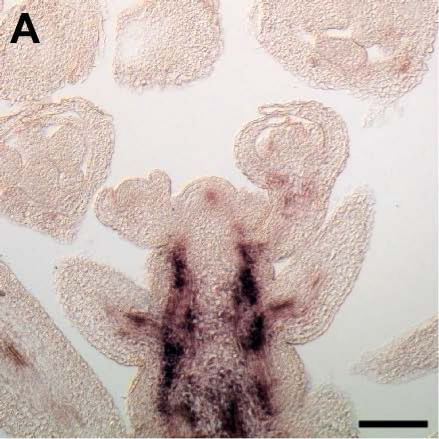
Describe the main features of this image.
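Longitudinal section through a shoot apex with a small domed meristem at the top centre, flanked by young flower buds and larger sepal-enclosed buds. A small, faint pinkish spot lies in the centre of the dome. Below, the stem carries two strong dark purple longitudinal strands running down its flanks, with short side branches toward the lateral organs. The tissue between the strands consists of paler, larger cells.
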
